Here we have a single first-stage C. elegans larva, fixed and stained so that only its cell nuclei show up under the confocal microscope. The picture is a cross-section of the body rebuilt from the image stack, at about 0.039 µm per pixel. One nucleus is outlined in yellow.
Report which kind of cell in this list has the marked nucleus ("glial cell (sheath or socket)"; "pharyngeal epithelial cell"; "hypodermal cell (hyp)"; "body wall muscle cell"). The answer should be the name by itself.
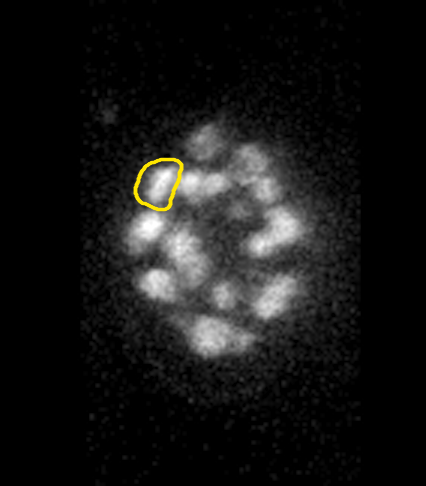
glial cell (sheath or socket)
